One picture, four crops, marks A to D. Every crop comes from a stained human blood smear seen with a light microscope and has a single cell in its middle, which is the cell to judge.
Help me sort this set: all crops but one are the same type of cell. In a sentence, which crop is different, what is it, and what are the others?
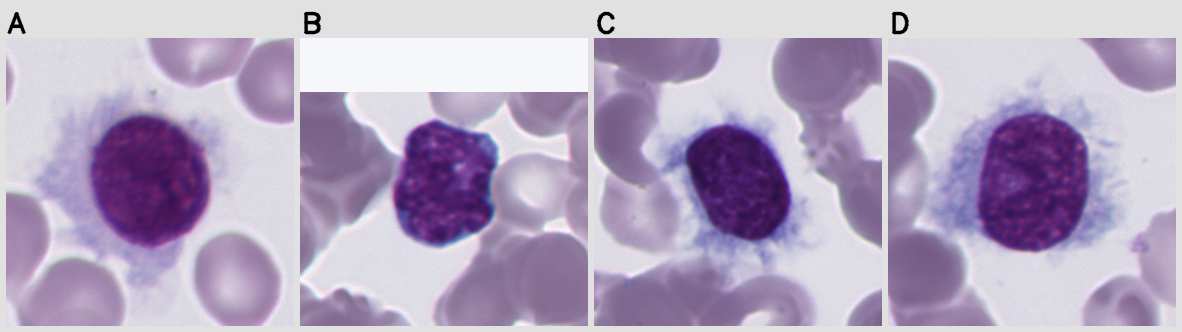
While crop B shows a typical lymphocyte, the other crops all show hairy cells.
